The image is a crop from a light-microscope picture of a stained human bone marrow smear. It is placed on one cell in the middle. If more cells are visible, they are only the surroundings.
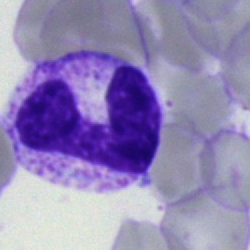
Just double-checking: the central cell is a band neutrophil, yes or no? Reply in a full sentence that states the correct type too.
Yes, the identification of the central cell as a band neutrophil is correct.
